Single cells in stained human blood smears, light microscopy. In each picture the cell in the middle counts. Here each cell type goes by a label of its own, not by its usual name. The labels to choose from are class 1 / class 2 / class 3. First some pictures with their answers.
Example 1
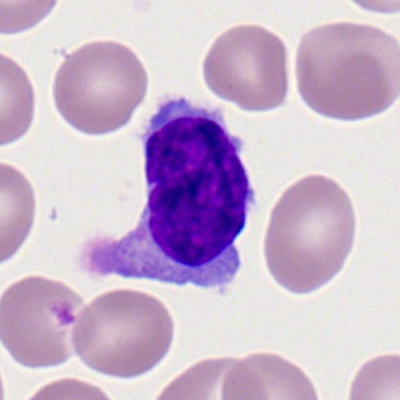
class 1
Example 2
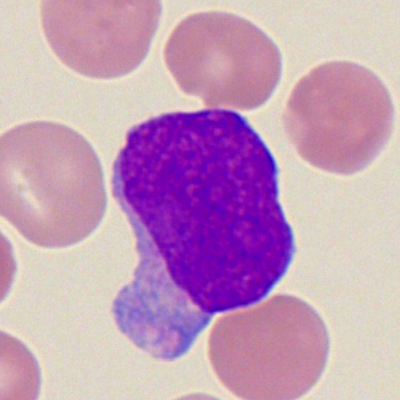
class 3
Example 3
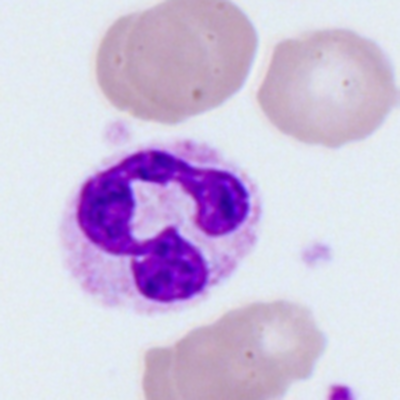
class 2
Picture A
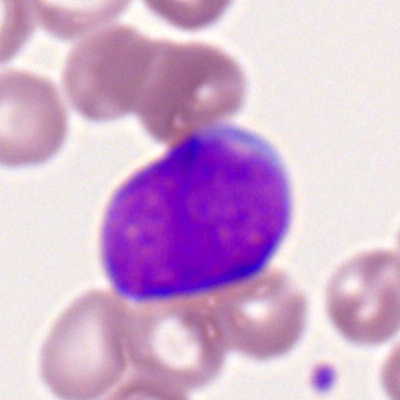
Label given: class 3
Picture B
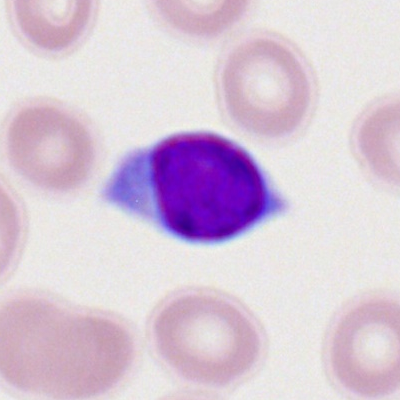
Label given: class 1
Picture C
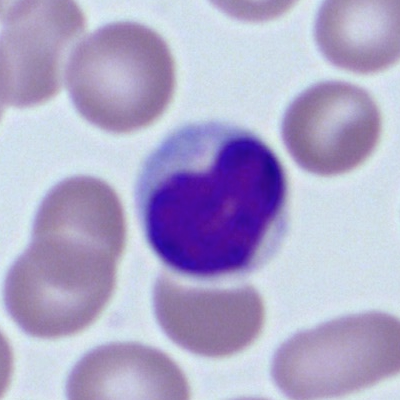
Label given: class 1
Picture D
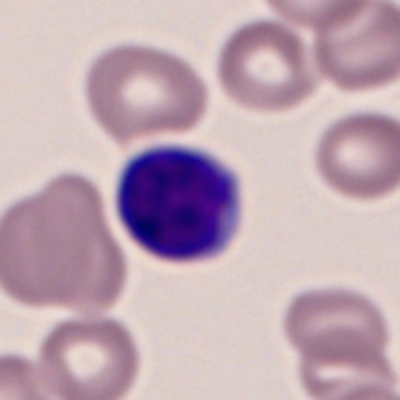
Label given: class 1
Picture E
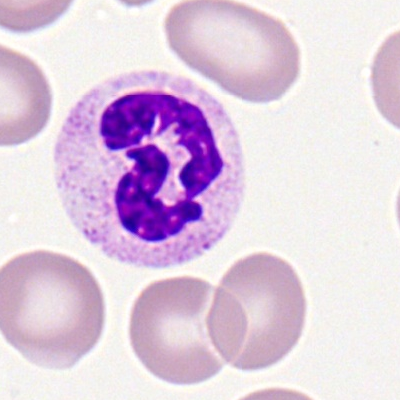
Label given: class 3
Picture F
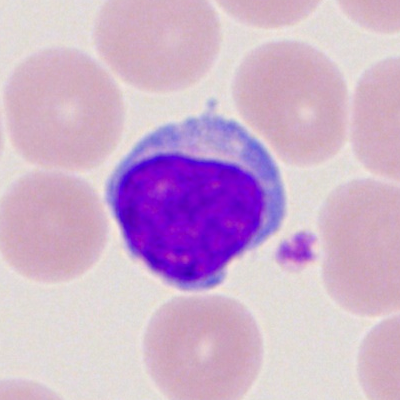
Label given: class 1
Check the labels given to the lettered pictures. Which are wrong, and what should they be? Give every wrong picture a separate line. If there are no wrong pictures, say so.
E: class 2, not class 3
